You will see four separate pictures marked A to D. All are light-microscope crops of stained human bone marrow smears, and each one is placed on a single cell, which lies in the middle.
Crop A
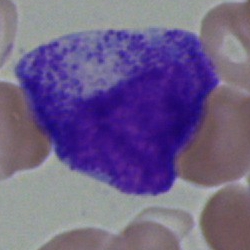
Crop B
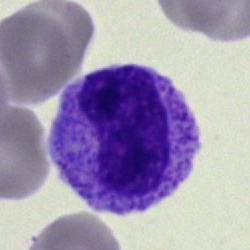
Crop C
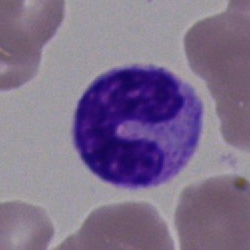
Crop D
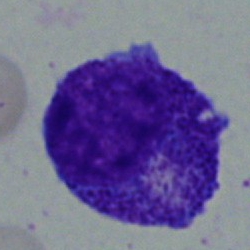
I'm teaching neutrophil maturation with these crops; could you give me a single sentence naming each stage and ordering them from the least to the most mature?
The order, going from least to most mature, is crop D (a promyelocyte), crop A (a myelocyte), crop B (a metamyelocyte) and crop C (a band neutrophil).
